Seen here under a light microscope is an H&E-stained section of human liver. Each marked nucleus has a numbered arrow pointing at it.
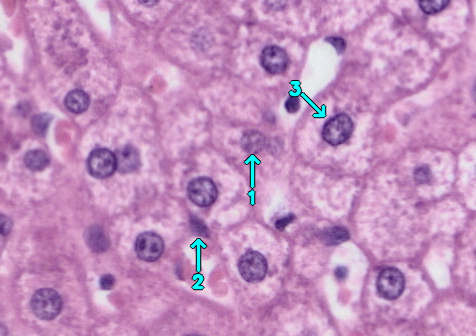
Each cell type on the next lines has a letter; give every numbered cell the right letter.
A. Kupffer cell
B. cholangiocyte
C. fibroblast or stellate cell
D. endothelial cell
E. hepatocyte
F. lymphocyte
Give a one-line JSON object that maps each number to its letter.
{"1": "E", "2": "C", "3": "E"}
